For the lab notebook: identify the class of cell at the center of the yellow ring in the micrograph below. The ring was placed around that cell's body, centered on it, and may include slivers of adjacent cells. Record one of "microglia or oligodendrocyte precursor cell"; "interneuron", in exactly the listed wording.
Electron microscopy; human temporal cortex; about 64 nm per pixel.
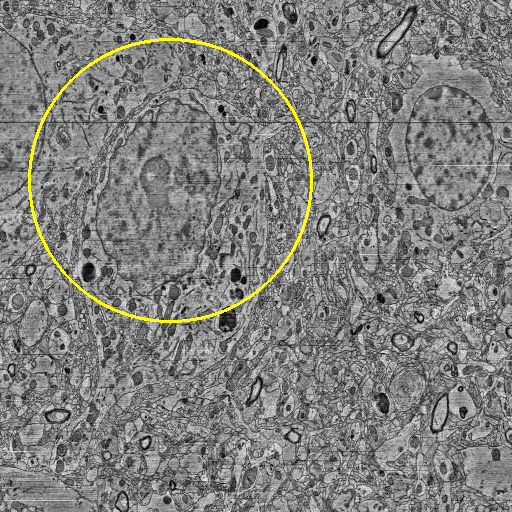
interneuron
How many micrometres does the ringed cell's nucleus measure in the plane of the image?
At approximately 12 by 8 micrometres, the nucleus is clearly longer than it is wide in this plane.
